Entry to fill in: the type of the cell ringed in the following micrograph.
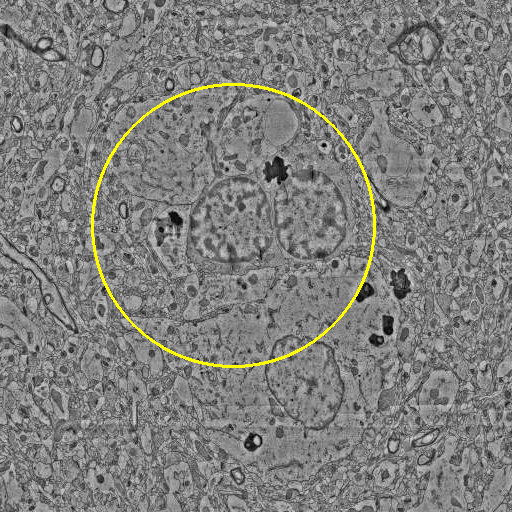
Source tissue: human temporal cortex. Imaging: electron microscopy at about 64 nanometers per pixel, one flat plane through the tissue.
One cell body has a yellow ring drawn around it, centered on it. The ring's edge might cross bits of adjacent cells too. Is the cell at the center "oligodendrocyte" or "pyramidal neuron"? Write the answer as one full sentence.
This entry names an oligodendrocyte as the cell whose body lies at the ring's center.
